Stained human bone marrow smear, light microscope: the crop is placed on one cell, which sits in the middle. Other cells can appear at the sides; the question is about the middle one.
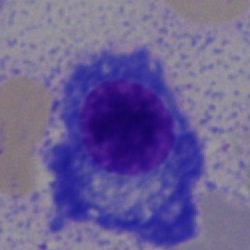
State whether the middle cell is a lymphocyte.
no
